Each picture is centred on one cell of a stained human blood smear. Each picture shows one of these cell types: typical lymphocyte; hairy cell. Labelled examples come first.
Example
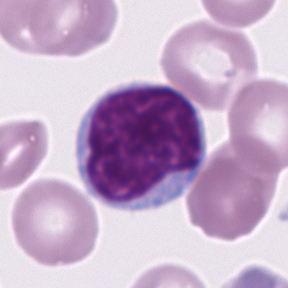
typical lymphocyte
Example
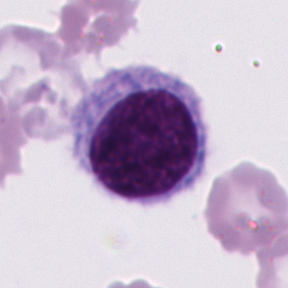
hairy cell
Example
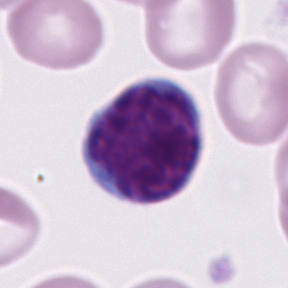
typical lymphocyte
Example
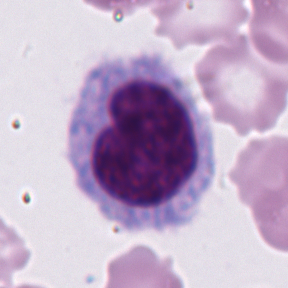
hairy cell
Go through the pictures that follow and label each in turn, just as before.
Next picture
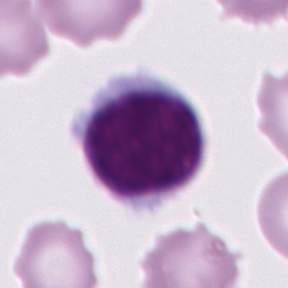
hairy cell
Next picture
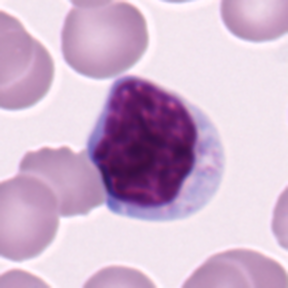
typical lymphocyte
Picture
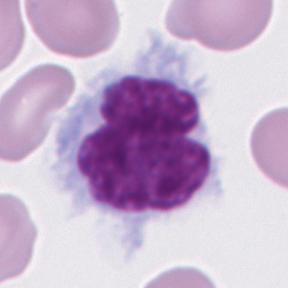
hairy cell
